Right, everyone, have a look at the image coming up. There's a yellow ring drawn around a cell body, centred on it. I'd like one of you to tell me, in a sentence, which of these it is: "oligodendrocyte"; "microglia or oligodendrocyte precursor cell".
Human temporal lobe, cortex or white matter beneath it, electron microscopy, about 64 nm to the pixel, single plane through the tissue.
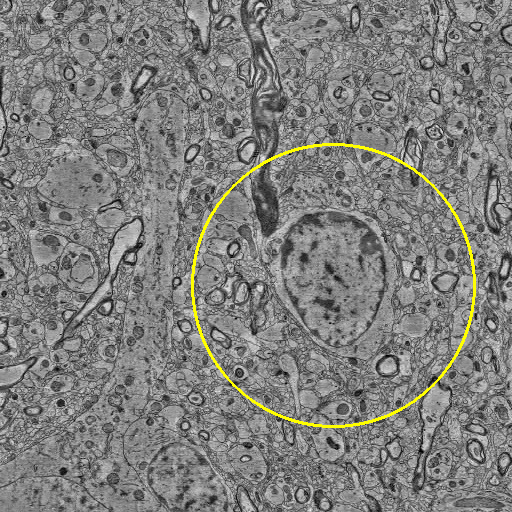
The yellow ring sits on a microglial cell or oligodendrocyte precursor cell.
